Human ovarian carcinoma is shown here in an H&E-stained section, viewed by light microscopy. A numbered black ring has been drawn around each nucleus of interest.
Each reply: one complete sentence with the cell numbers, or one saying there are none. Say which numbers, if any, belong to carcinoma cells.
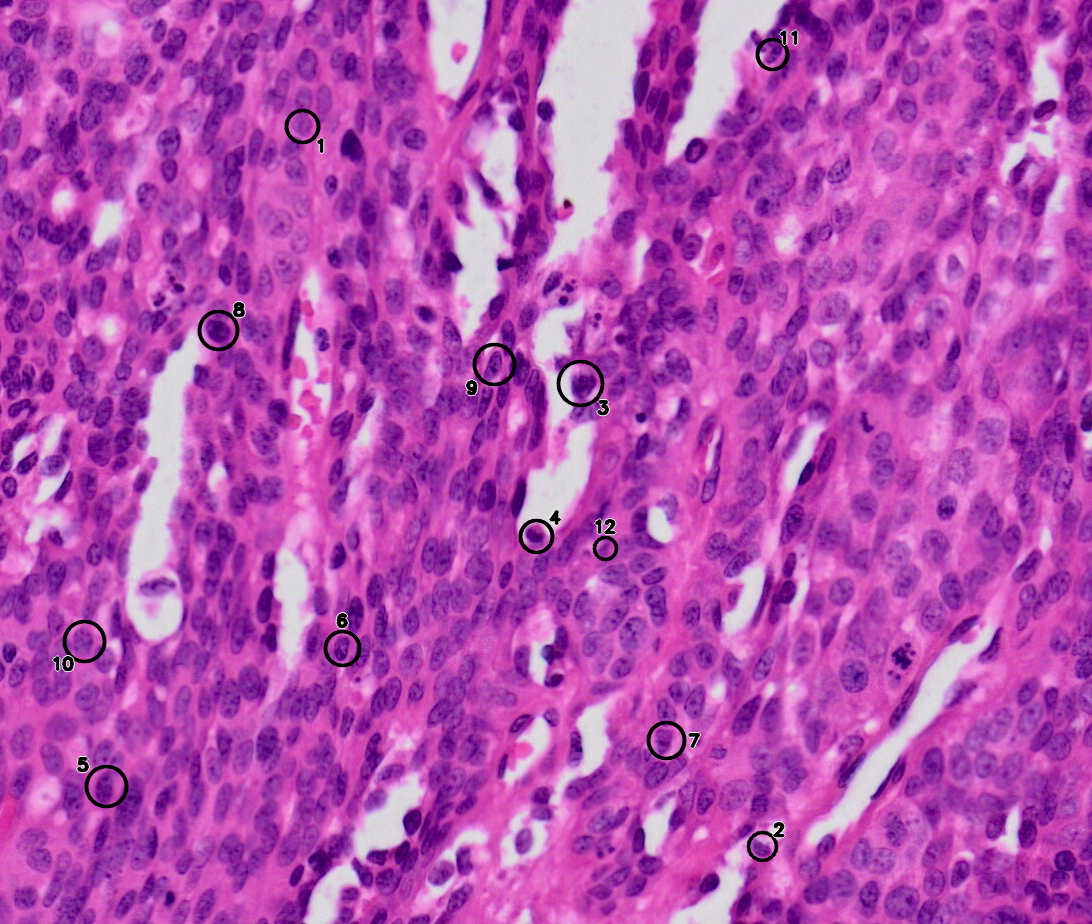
The cells which carry the numbers 1, 3, 4, 5, 8, 10 and 12 are carcinoma cells.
